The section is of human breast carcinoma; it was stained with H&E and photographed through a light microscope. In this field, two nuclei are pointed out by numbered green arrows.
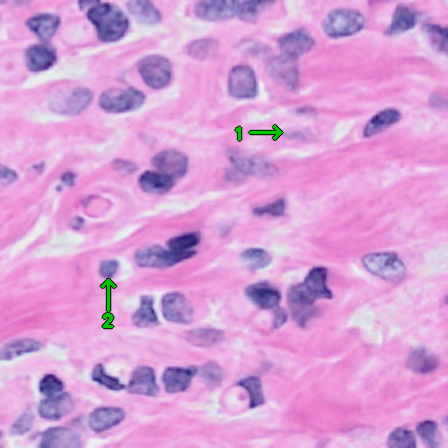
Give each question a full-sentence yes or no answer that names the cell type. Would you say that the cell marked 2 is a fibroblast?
No, the cell referred to as 2 is a lymphocyte, not a fibroblast.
